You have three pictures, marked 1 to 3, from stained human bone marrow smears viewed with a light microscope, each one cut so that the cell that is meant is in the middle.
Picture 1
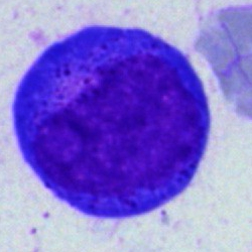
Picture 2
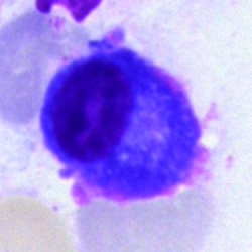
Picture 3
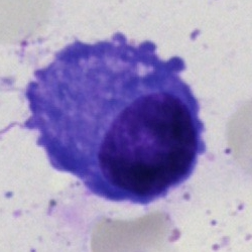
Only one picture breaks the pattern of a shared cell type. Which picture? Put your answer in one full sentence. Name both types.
The different one is picture 1; it shows a promyelocyte, whereas all the others show plasma cells.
